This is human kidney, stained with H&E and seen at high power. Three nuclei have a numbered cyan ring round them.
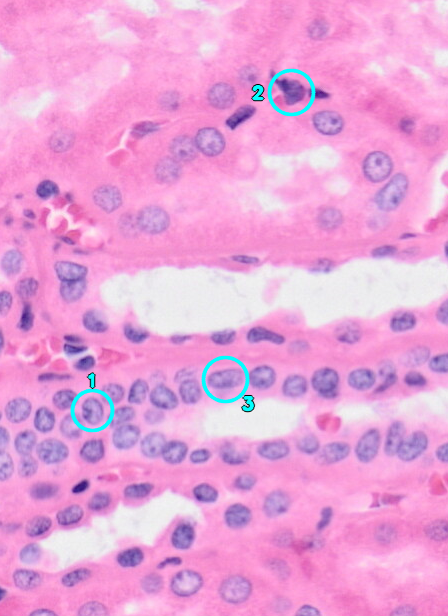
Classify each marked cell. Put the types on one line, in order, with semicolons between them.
collecting duct cell; endothelial cell; collecting duct cell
